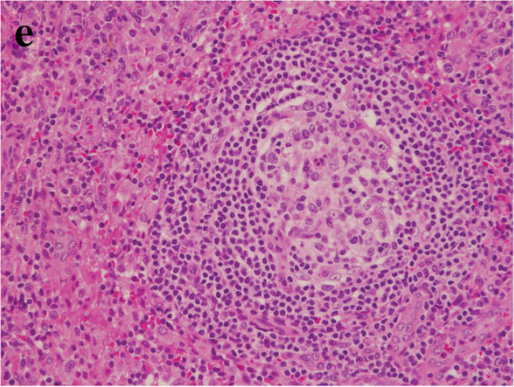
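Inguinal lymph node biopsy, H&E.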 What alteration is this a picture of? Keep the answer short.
concentric layering of peripheral lymphocytes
